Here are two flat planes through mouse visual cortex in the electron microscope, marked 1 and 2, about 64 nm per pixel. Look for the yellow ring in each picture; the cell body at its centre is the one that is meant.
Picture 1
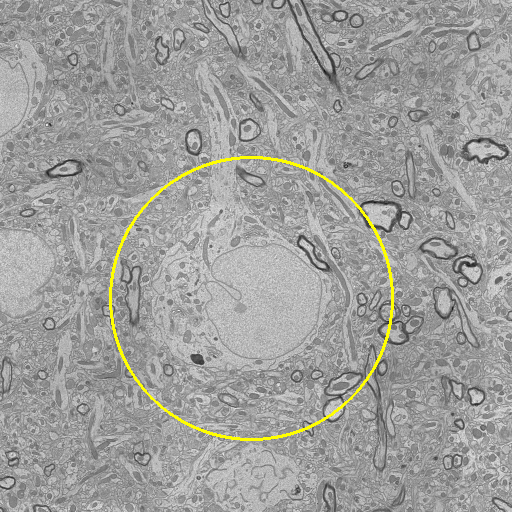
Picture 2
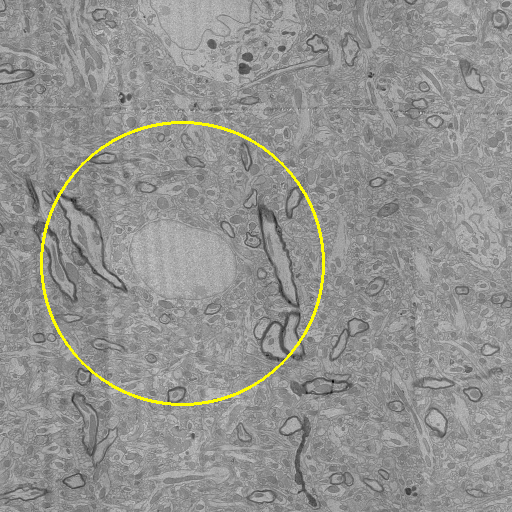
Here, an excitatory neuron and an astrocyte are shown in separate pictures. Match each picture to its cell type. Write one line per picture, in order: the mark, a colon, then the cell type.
1: excitatory neuron
2: astrocyte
